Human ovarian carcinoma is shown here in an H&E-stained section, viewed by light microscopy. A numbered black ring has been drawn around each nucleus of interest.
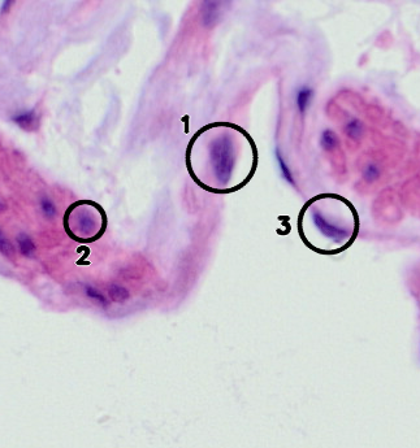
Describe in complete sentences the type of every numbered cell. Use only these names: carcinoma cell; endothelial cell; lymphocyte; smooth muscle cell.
Cell 1 is an endothelial cell, cell 2 is a smooth muscle cell and cell 3 is an endothelial cell.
